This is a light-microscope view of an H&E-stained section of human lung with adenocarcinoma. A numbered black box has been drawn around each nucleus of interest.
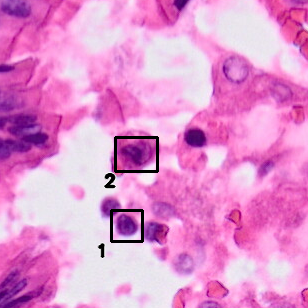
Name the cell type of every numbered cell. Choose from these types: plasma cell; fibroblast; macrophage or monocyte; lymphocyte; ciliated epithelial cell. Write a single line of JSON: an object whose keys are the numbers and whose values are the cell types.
{"1": "lymphocyte", "2": "macrophage or monocyte"}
